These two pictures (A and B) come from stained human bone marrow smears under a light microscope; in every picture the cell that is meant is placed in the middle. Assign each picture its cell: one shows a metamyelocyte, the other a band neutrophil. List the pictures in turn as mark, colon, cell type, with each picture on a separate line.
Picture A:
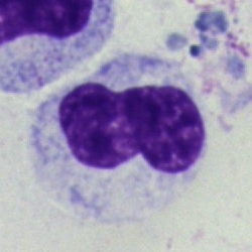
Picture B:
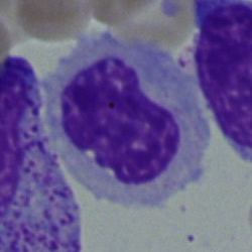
A: band neutrophil
B: metamyelocyte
